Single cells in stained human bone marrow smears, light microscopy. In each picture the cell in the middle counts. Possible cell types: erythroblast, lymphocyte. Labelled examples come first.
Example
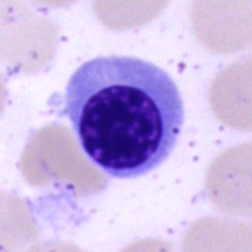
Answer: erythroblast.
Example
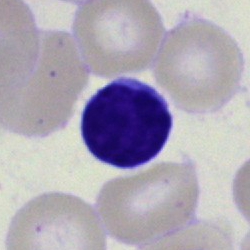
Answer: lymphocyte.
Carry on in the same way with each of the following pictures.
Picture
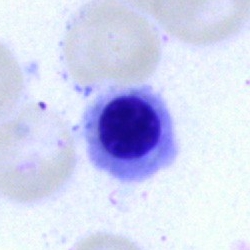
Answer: erythroblast.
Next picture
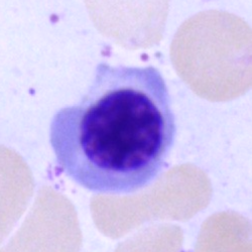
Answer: erythroblast.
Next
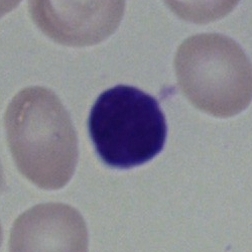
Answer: lymphocyte.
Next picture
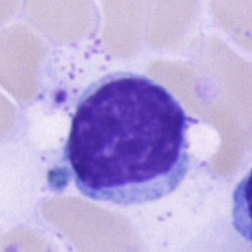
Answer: lymphocyte.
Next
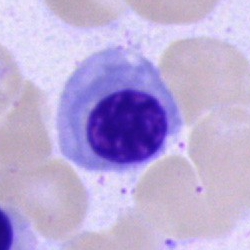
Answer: erythroblast.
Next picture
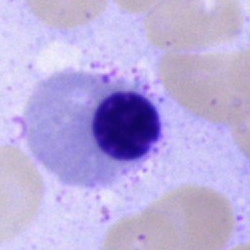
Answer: erythroblast.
